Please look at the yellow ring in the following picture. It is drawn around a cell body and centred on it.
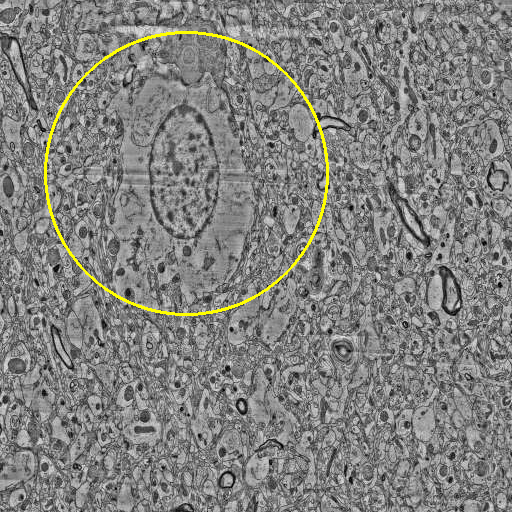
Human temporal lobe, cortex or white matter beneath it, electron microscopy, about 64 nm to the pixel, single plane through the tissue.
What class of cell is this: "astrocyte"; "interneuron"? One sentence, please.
The ring surrounds the cell body of an astrocyte.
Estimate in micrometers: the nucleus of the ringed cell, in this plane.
About 8 by 4 micrometers in this plane, so the nucleus is clearly longer than it is wide.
